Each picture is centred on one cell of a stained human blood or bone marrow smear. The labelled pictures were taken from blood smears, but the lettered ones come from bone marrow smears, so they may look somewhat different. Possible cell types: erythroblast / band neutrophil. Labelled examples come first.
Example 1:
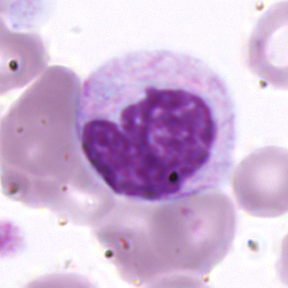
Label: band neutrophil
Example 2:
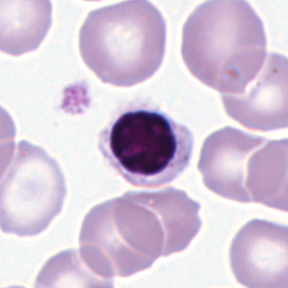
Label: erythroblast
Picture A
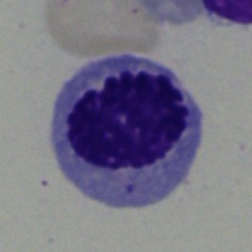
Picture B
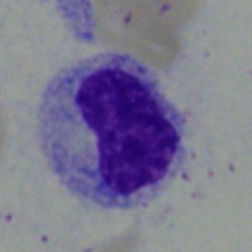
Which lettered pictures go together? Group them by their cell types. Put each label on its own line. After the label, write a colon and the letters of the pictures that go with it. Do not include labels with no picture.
erythroblast: A
band neutrophil: B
